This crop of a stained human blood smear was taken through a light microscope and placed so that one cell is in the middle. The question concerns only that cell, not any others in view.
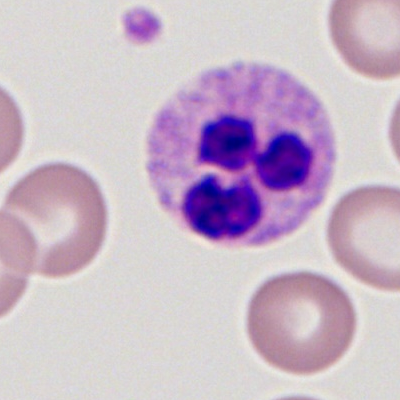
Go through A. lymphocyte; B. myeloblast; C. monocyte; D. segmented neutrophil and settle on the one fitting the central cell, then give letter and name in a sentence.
Option D is correct in that the central cell is a segmented neutrophil.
